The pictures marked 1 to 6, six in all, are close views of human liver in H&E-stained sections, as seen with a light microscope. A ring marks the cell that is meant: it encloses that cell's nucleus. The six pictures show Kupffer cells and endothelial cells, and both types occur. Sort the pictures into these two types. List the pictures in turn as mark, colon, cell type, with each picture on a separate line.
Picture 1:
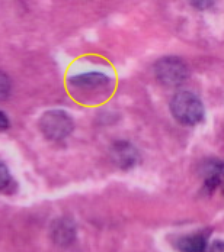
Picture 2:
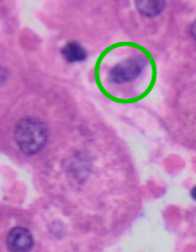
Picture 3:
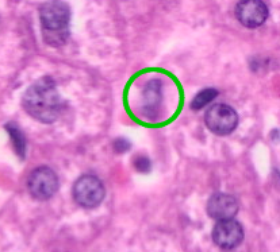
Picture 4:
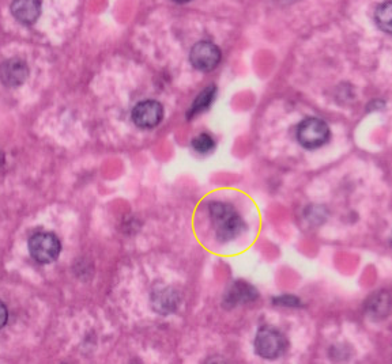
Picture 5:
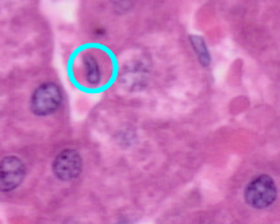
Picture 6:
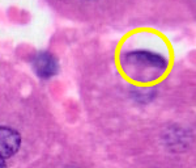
1: endothelial cell
2: Kupffer cell
3: Kupffer cell
4: Kupffer cell
5: Kupffer cell
6: endothelial cell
